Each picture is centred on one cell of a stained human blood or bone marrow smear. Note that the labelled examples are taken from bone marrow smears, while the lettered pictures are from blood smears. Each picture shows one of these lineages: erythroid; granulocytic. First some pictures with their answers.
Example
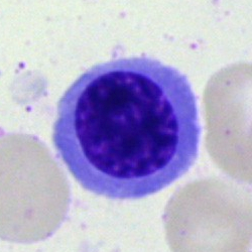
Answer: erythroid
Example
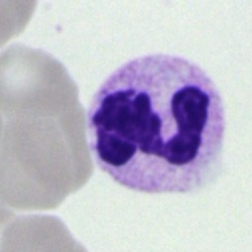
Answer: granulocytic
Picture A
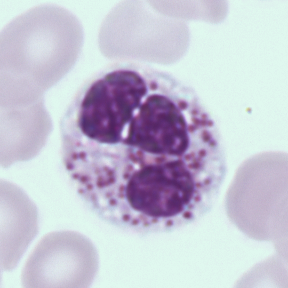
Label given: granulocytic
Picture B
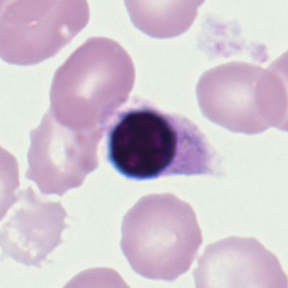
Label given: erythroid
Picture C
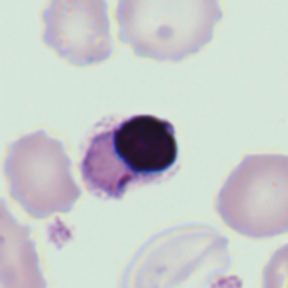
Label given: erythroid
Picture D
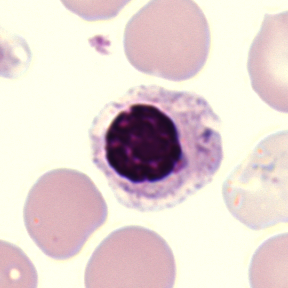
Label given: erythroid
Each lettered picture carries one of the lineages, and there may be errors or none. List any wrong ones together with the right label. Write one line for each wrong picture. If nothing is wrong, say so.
Every label is right.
